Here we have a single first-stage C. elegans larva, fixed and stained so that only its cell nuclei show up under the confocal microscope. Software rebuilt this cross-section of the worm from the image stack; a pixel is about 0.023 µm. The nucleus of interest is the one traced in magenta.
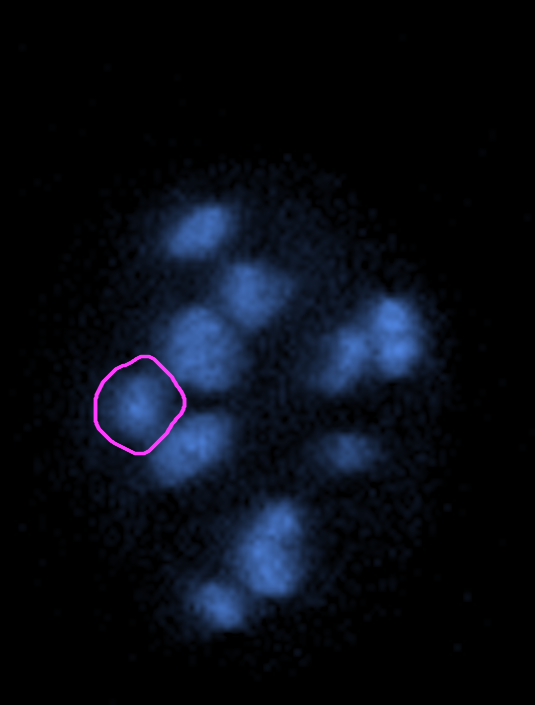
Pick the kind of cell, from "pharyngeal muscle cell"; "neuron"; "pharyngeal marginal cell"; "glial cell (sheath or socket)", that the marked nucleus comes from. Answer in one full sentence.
It belongs to a glial cell (sheath or socket).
